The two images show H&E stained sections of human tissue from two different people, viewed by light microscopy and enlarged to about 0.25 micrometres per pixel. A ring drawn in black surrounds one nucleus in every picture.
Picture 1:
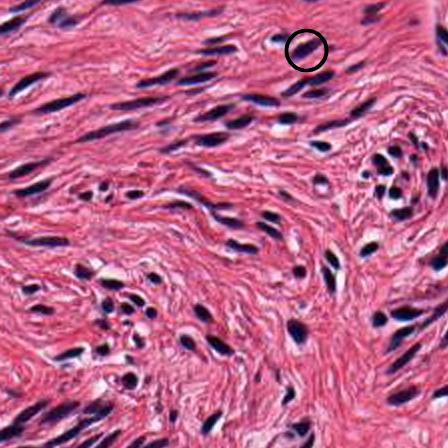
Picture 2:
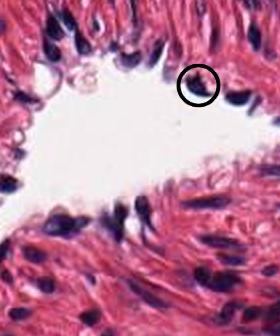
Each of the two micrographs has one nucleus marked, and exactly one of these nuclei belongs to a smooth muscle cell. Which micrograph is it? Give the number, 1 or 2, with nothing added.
1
